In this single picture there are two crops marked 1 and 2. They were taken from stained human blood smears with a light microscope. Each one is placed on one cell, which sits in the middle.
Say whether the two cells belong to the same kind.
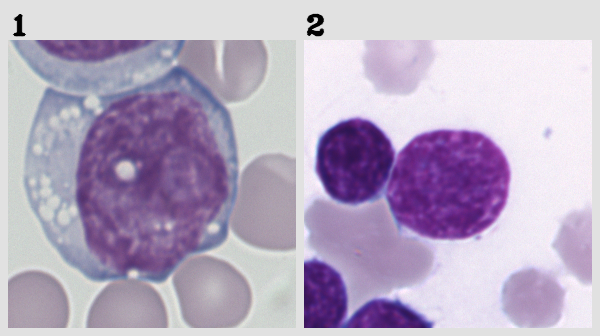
yes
